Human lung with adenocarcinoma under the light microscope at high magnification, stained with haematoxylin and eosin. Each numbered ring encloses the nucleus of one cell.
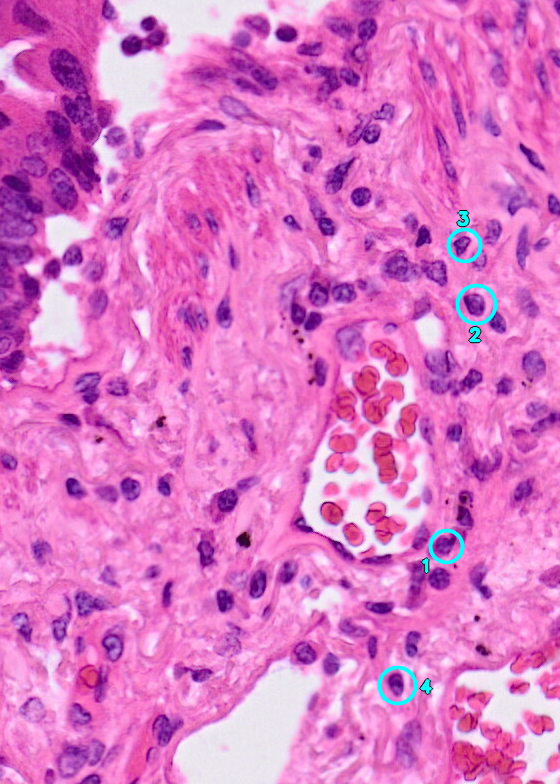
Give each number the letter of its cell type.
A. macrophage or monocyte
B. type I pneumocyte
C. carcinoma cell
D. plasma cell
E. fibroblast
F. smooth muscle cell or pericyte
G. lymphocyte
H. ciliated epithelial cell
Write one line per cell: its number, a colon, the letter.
1: D
2: G
3: G
4: G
